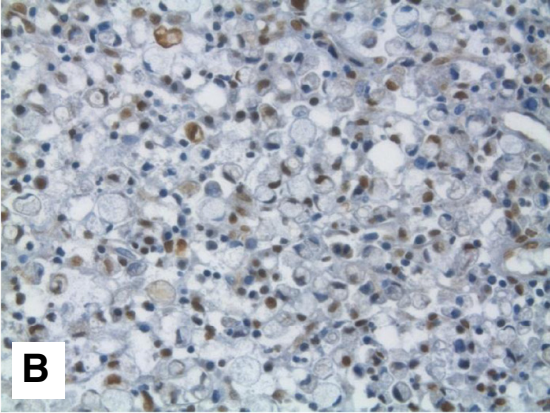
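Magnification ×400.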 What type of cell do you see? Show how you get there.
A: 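Scattered single cells with pale, clear, vacuolated cytoplasm. Nuclei are pushed to the edge of the cells. No glands are formed; the cells infiltrate diffusely. So: signet ring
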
